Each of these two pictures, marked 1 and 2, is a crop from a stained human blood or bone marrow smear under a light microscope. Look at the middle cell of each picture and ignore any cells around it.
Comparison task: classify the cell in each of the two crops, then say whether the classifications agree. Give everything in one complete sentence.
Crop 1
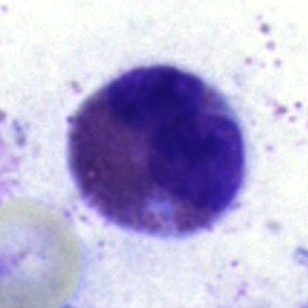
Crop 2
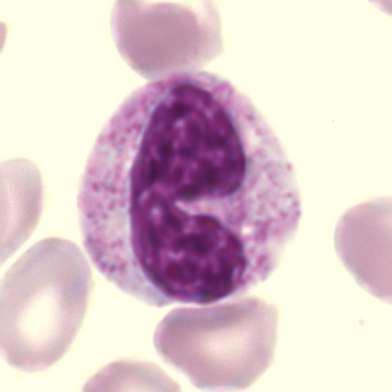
No, an eosinophil lies at the centre of crop 1, and a band neutrophil lies at the centre of crop 2.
